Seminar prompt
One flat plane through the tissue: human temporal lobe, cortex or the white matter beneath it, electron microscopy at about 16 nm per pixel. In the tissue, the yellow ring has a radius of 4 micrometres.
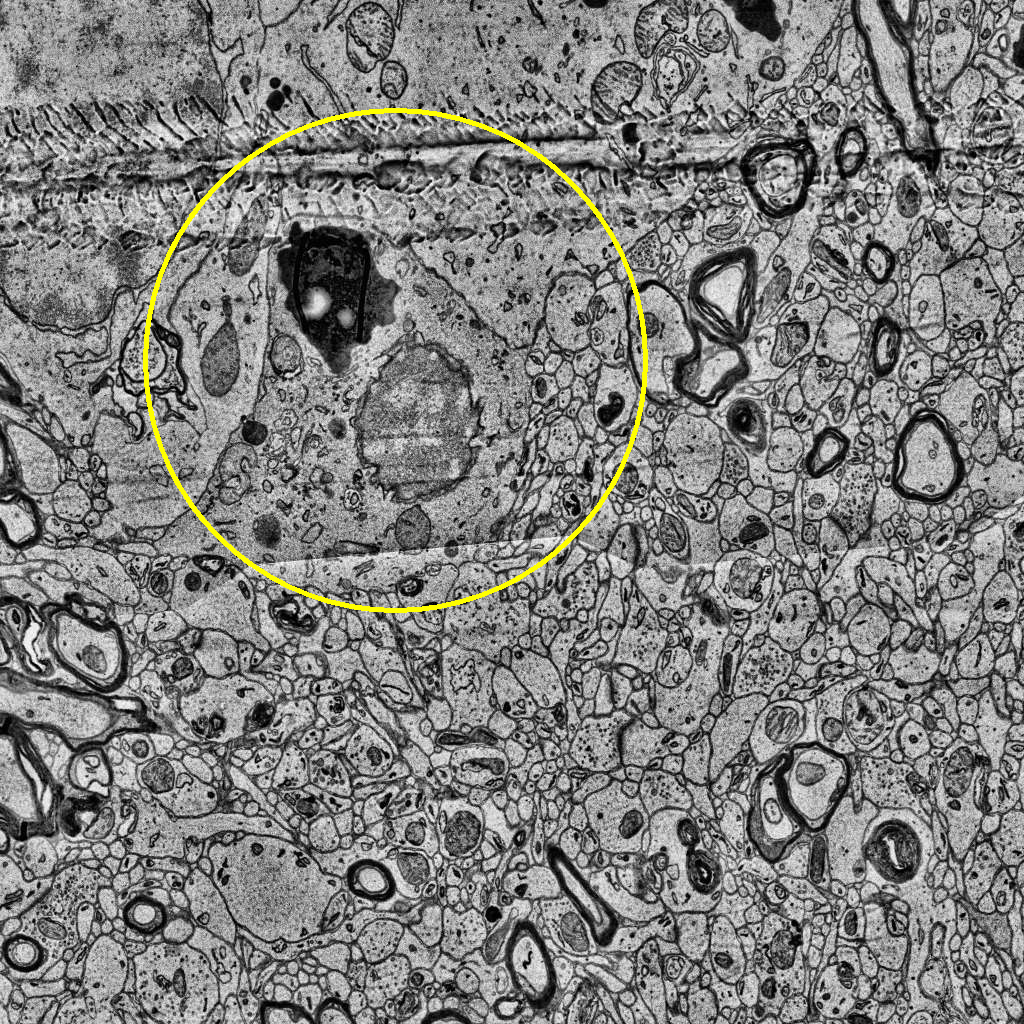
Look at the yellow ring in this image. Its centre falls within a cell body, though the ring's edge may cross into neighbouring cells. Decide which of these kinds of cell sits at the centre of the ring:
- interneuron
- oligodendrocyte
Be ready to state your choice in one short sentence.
The kind of cell at the ring's centre is an oligodendrocyte.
